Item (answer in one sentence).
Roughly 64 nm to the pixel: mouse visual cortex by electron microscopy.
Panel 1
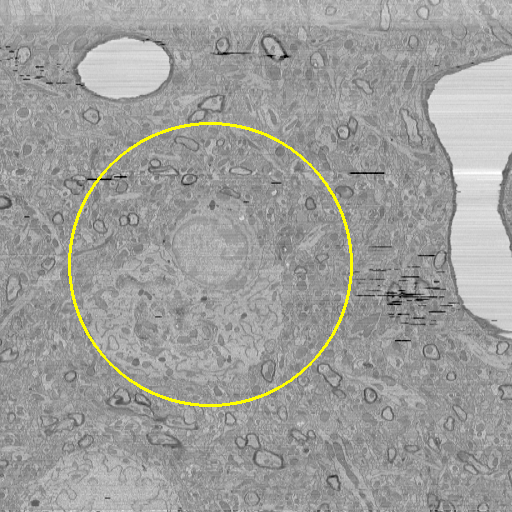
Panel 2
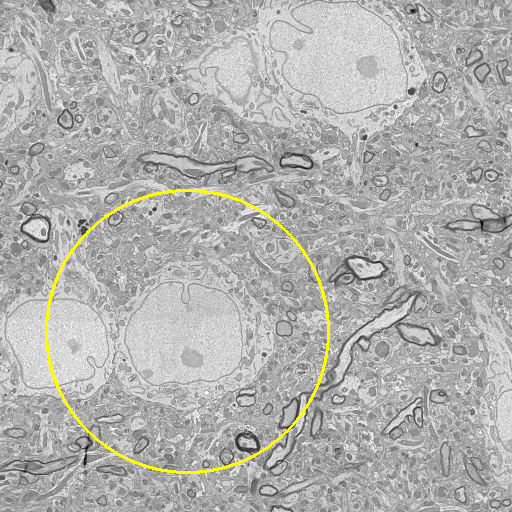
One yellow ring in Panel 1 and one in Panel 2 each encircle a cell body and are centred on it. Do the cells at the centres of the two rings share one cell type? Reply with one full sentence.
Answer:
No, Panel 1 and Panel 2 show cells of two types at the centres of their rings.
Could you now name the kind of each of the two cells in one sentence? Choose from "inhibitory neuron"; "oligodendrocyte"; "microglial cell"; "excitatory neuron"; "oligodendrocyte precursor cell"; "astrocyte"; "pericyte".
The first ring encloses an oligodendrocyte; the second ring encloses an excitatory neuron.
